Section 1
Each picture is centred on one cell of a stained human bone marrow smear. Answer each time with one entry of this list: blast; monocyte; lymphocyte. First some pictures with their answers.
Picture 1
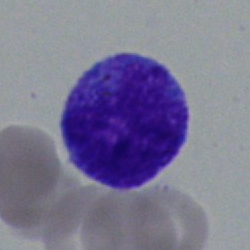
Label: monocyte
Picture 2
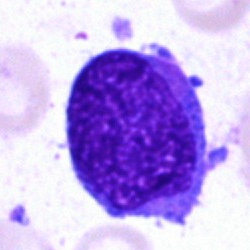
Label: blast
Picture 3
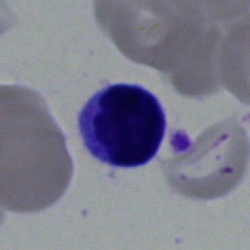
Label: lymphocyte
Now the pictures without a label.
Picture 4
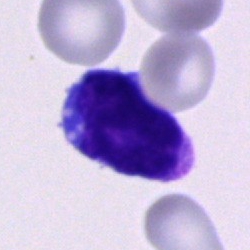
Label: blast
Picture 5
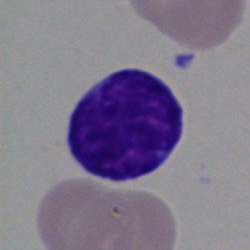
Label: blast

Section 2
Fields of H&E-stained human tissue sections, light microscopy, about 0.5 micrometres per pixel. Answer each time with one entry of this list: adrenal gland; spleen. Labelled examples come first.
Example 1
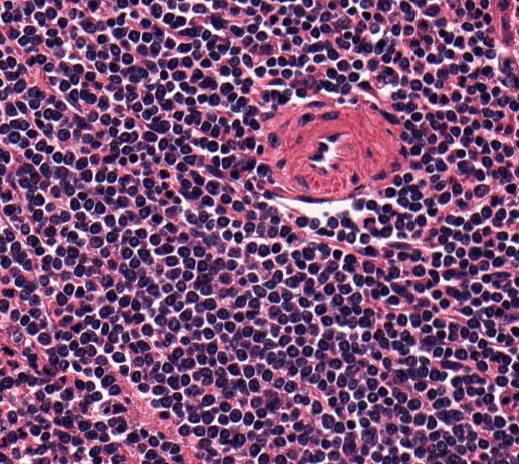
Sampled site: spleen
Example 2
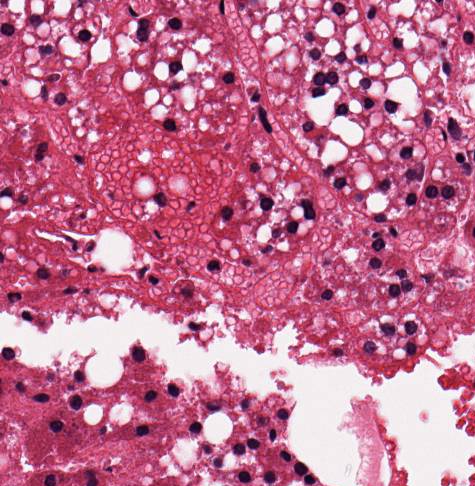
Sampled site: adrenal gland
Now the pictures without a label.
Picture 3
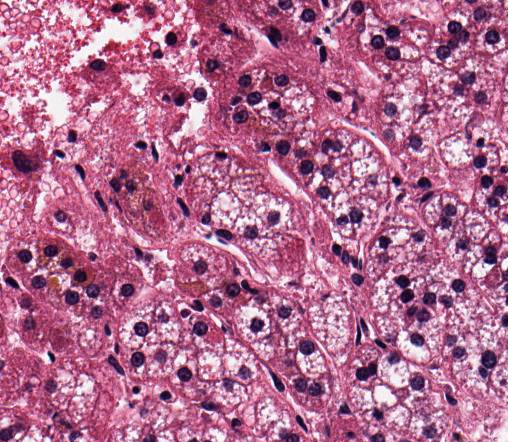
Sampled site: adrenal gland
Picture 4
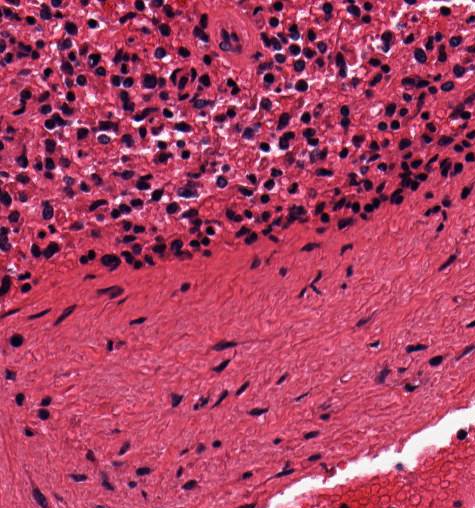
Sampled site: spleen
